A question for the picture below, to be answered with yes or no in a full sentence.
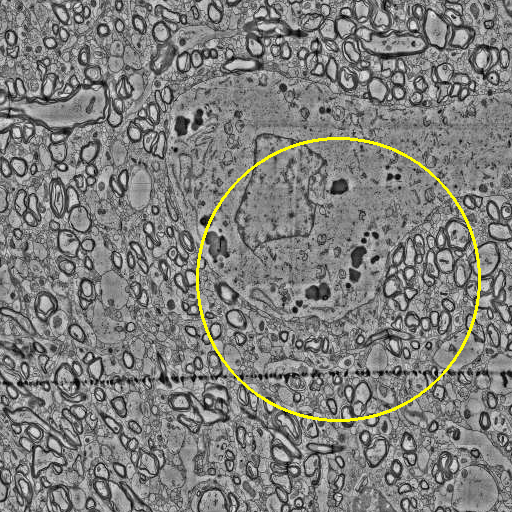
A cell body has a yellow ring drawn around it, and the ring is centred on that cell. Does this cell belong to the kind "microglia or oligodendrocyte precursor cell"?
Yes, the pictured cell at the ring's centre belongs to that kind.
